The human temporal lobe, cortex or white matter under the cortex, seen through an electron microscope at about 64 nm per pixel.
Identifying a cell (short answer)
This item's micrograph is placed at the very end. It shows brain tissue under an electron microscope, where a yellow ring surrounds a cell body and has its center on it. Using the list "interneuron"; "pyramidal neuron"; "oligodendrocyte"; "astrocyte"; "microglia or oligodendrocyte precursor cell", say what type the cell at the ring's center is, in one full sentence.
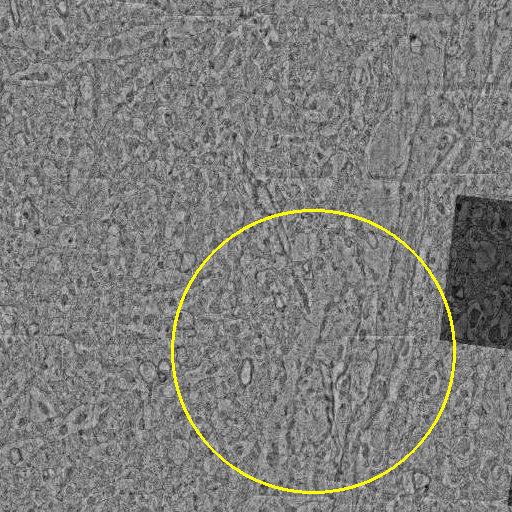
This picture shows a microglial cell or oligodendrocyte precursor cell at the center of the yellow ring drawn on it.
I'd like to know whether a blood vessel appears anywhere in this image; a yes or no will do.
Yes, a vessel appears in the picture.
